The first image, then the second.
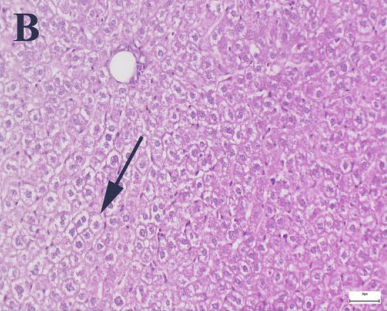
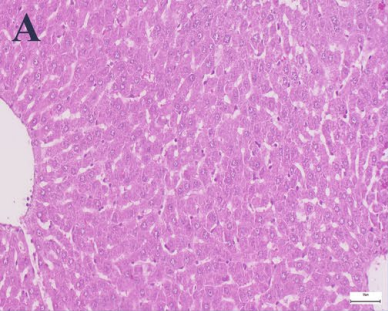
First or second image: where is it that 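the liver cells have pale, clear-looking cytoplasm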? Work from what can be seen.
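First image: the hepatocytes look pale with clear cytoplasm and sharp cell borders. Second image: the hepatocytes have evenly pink cytoplasm in cords separated by narrow spaces. That points to this answer: the first image.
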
